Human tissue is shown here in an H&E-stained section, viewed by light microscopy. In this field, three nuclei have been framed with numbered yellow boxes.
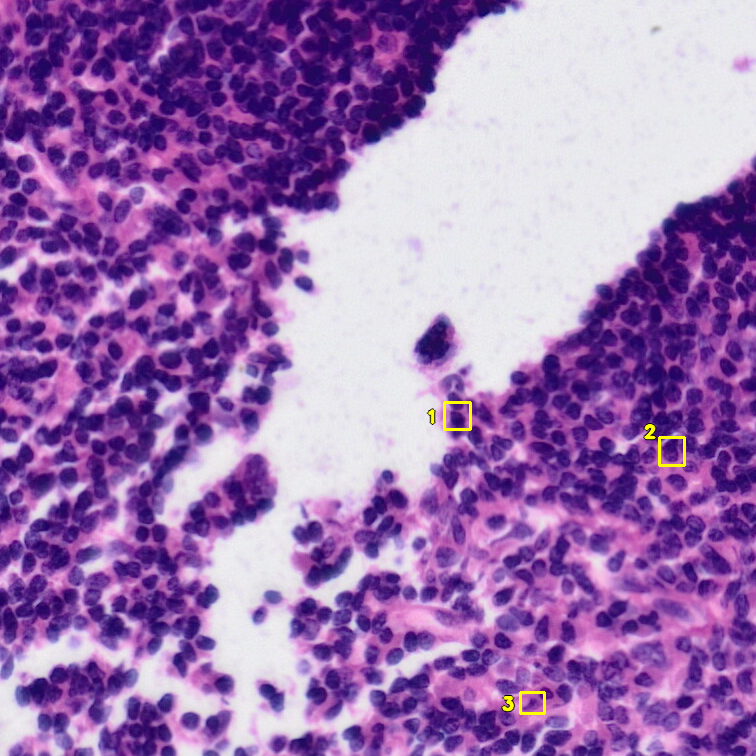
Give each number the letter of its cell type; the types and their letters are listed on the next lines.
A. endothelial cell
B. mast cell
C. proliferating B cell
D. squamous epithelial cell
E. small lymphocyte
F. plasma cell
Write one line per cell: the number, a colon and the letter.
1: E
2: E
3: A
